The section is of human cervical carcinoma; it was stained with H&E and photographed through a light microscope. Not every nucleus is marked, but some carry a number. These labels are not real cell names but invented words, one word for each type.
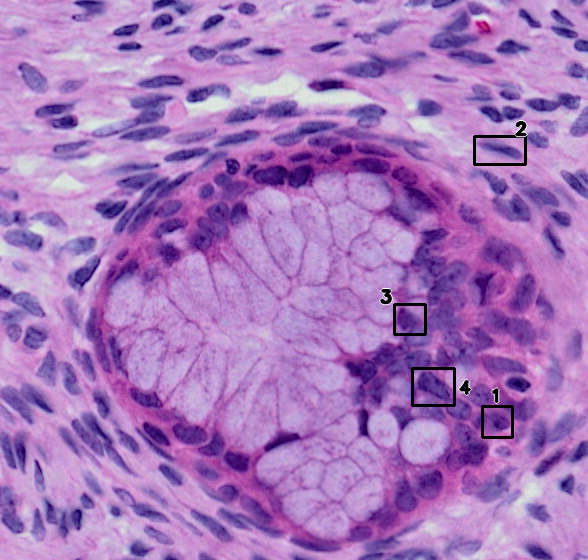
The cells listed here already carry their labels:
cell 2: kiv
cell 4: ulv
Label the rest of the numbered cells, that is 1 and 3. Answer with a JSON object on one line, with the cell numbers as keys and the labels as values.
{"1": "ulv", "3": "ulv"}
